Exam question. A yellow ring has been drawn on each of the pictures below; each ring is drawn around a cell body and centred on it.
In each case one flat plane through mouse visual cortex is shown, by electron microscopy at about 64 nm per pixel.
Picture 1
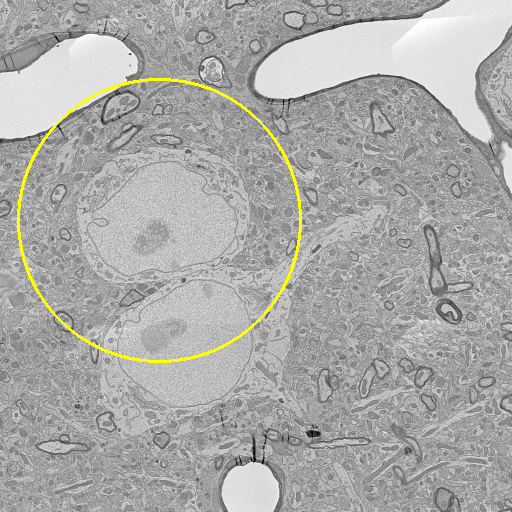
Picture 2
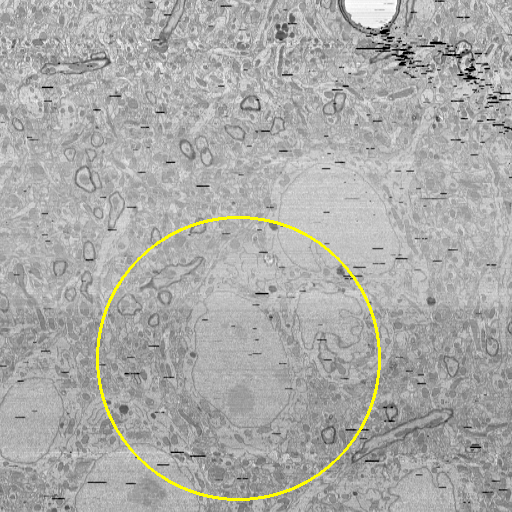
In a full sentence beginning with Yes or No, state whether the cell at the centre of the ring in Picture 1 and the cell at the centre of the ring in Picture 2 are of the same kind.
No, the cells are of two kinds.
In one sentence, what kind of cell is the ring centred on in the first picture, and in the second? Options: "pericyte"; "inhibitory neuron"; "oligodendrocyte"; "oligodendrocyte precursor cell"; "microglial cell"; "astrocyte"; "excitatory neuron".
The cell at the centre of the second ring is an excitatory neuron; the first ring's cell is an inhibitory neuron.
